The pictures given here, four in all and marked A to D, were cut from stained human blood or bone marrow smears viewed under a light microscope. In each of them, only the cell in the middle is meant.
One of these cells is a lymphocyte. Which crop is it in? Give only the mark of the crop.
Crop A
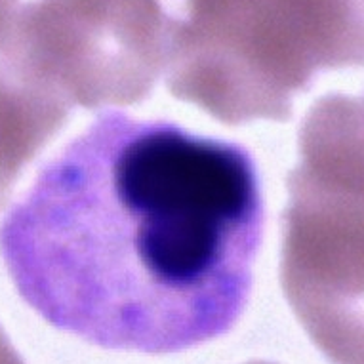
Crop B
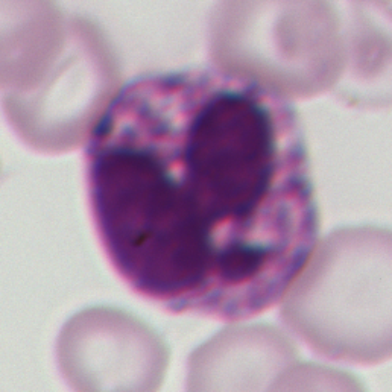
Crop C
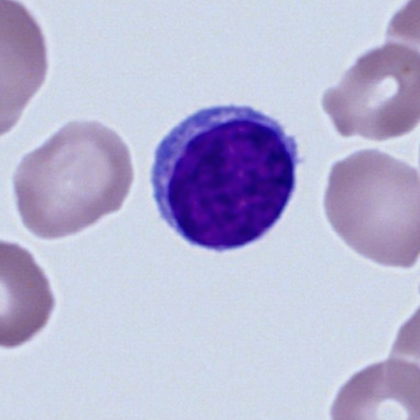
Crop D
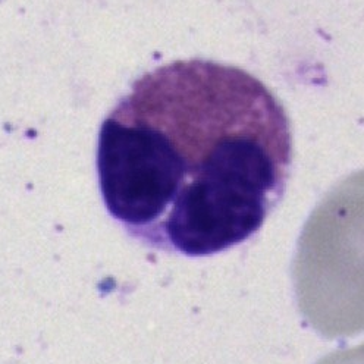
C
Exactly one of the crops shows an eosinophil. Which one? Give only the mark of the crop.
D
